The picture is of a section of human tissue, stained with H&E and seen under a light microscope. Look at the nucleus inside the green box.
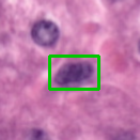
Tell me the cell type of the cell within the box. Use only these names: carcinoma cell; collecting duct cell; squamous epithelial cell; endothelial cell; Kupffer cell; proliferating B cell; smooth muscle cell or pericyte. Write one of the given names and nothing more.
Kupffer cell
